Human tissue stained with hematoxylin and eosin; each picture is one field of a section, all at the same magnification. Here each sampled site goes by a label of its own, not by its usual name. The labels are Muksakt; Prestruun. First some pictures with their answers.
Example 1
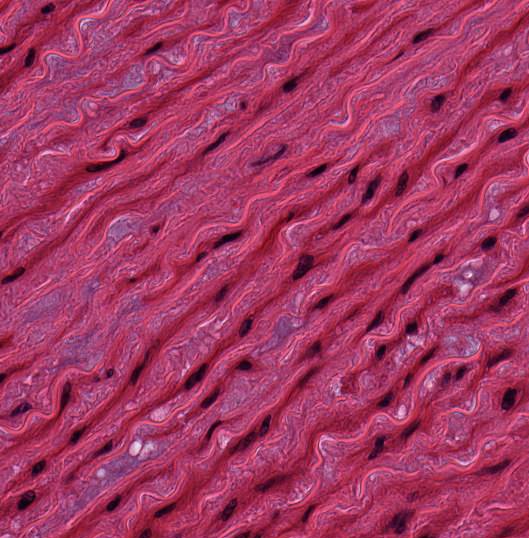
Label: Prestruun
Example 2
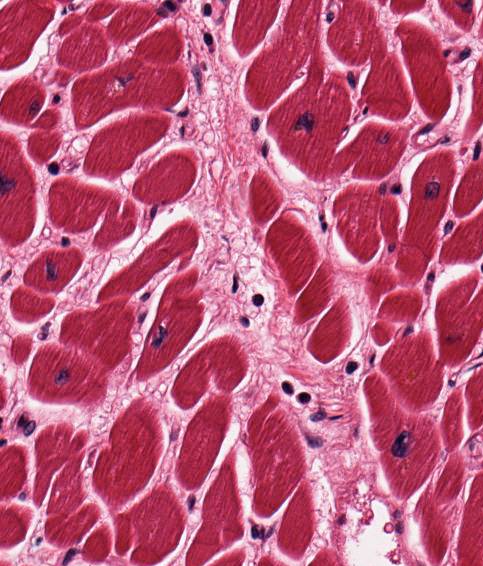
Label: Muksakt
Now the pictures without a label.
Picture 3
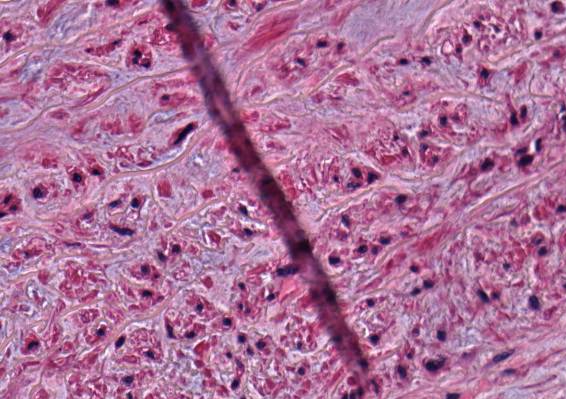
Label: Prestruun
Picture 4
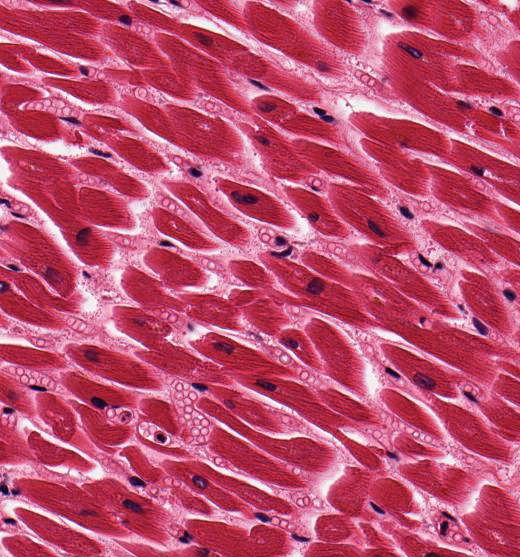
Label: Muksakt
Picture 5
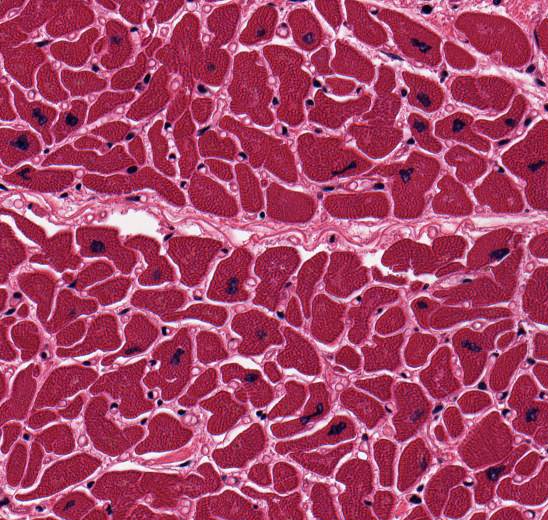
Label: Muksakt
